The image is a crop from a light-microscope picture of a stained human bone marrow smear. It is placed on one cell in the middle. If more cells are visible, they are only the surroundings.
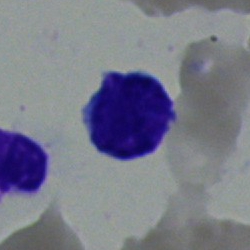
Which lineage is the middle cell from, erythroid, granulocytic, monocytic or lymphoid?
lymphoid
